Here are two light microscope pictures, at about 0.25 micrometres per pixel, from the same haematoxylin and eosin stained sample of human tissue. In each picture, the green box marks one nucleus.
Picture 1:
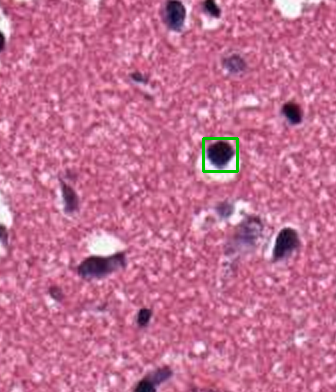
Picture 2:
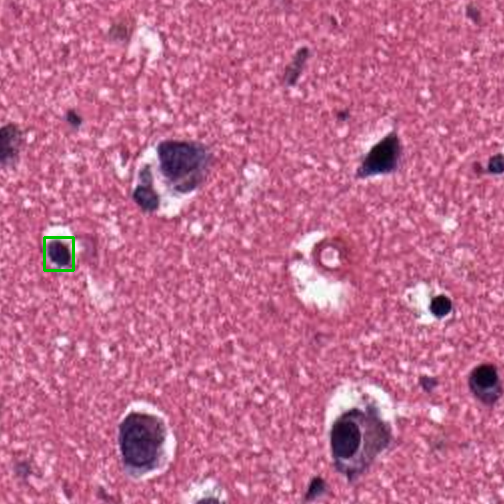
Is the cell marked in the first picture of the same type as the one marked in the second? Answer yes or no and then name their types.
Yes, both are oligodendrocytes.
